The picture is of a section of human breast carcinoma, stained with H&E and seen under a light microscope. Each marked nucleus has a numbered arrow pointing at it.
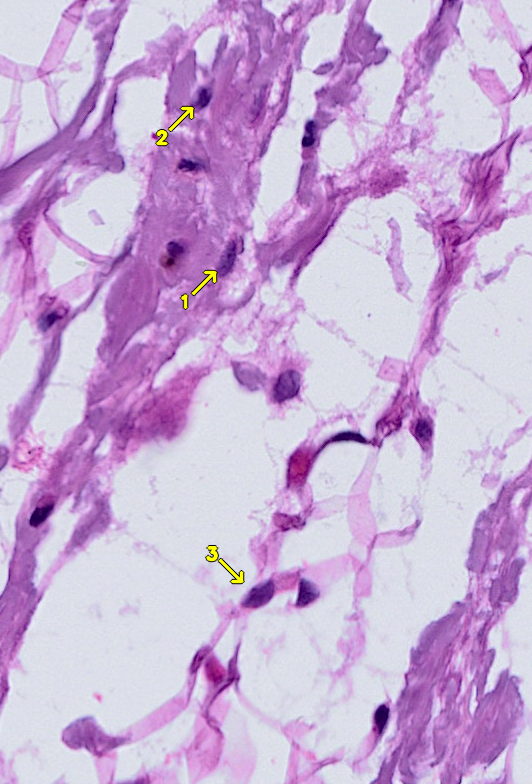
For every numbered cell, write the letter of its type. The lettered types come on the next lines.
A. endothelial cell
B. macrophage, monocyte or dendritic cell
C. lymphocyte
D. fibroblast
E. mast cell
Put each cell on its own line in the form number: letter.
1: D
2: D
3: A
